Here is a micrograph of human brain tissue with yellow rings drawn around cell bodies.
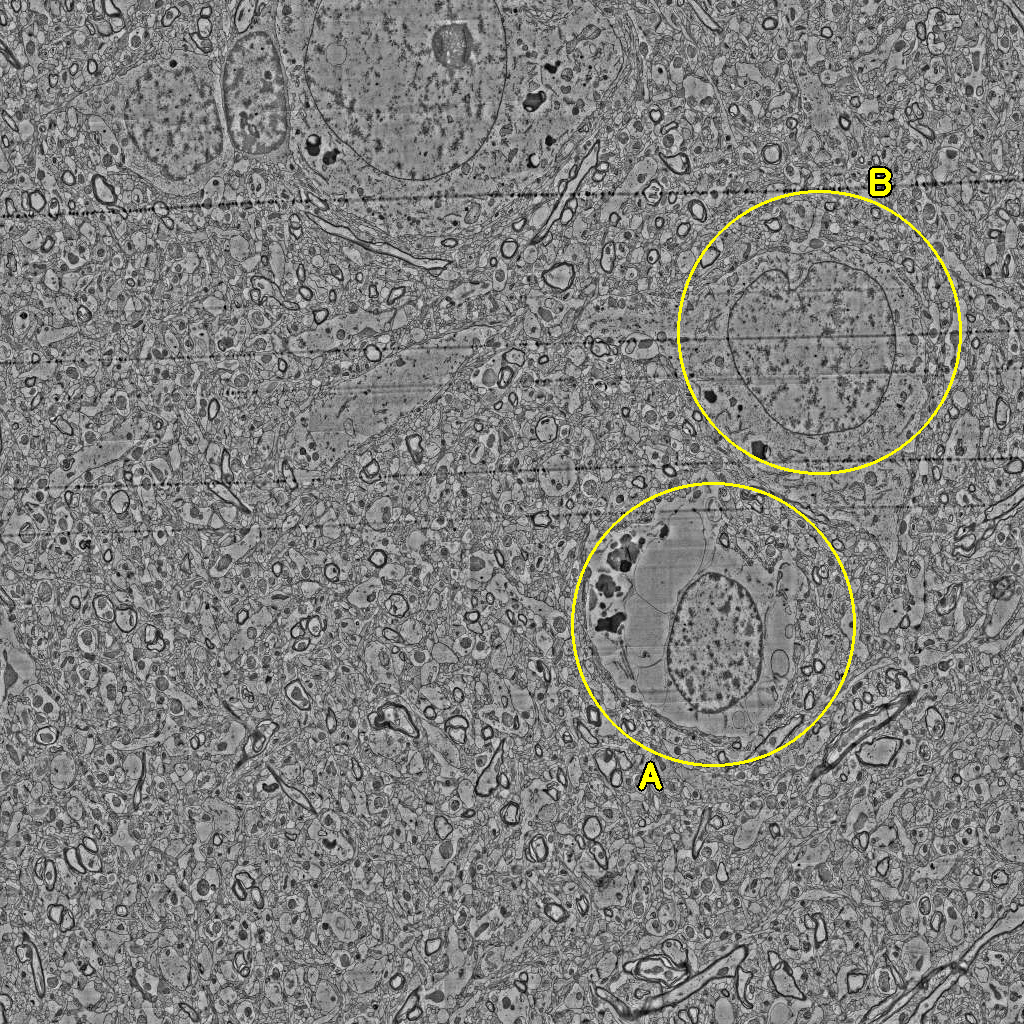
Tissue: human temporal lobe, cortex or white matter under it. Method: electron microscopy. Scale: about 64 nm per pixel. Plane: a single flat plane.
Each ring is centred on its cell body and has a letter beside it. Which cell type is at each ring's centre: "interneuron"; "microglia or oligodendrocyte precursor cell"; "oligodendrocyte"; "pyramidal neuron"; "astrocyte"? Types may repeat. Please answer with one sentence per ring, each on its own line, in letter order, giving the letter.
Ring A shows an astrocyte at its centre.
Ring B shows a pyramidal neuron at its centre.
